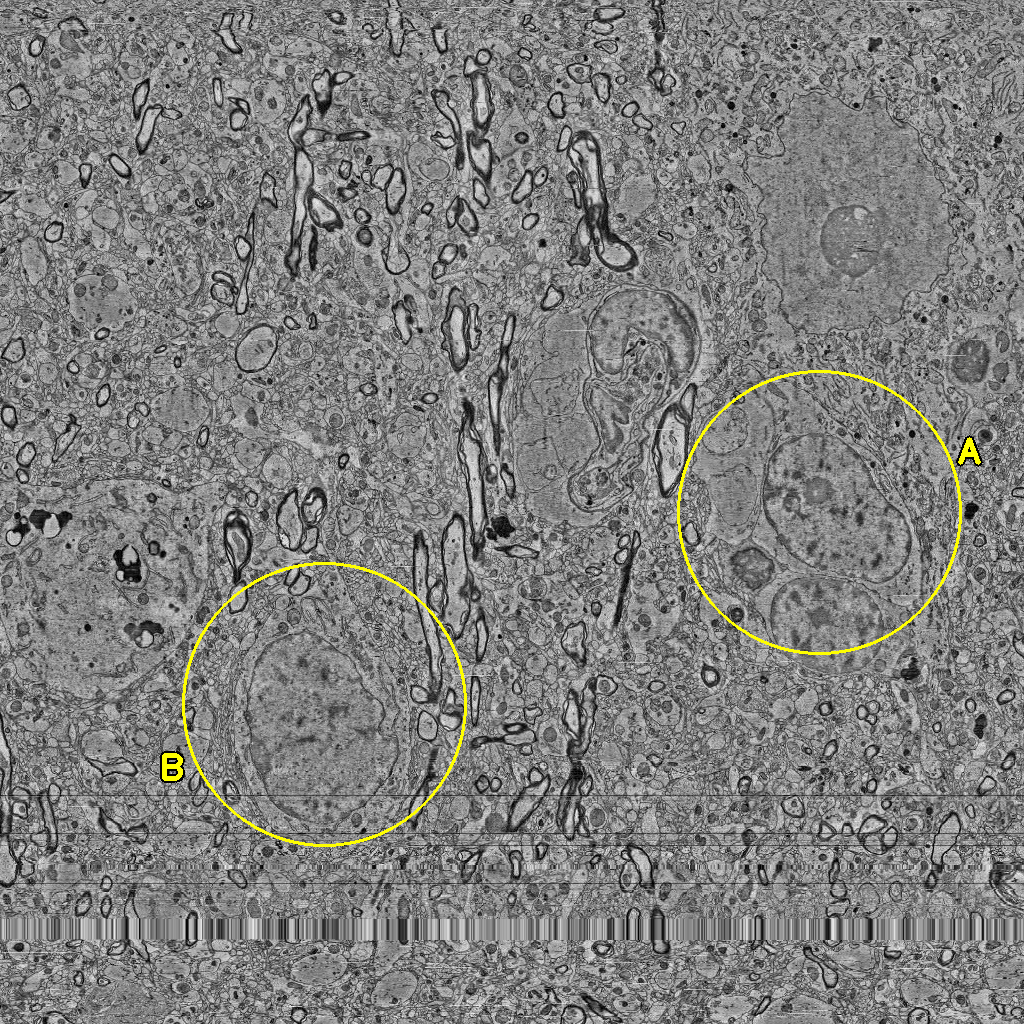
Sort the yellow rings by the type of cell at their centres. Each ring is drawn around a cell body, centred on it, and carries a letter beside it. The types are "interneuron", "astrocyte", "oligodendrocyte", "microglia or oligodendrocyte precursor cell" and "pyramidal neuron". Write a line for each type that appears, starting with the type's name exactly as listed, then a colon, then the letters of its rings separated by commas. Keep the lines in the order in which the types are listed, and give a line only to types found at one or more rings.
interneuron: B
microglia or oligodendrocyte precursor cell: A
